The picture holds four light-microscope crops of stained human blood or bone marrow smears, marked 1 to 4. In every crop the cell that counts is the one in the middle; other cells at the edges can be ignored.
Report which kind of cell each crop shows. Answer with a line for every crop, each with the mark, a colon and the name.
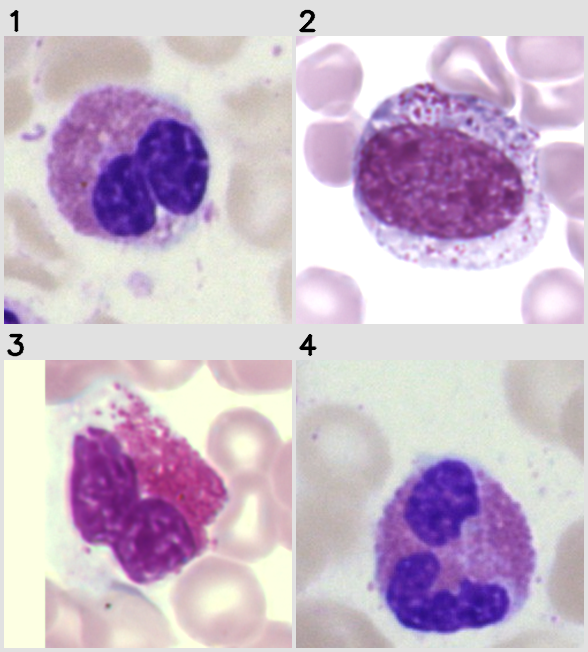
1: eosinophil
2: promyelocyte
3: eosinophil
4: eosinophil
